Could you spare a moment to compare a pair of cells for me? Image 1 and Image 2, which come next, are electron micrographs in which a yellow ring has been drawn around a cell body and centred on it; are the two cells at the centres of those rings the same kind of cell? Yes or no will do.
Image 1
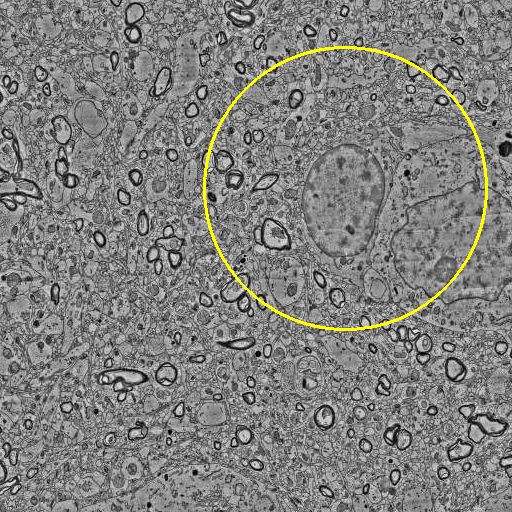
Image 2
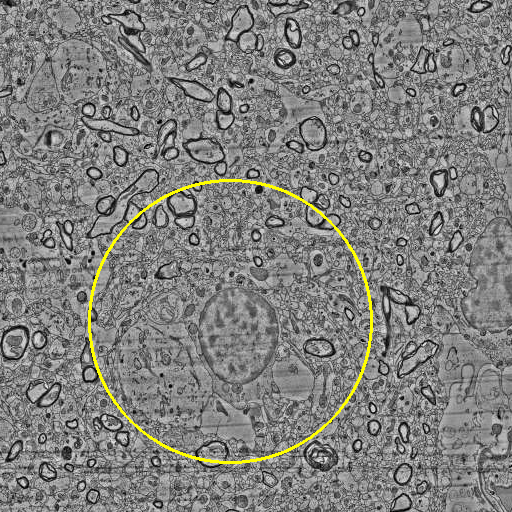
yes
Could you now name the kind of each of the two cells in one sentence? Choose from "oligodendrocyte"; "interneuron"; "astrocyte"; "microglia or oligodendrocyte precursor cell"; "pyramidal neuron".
The cell in the first picture is an oligodendrocyte, and so is the one in the second.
